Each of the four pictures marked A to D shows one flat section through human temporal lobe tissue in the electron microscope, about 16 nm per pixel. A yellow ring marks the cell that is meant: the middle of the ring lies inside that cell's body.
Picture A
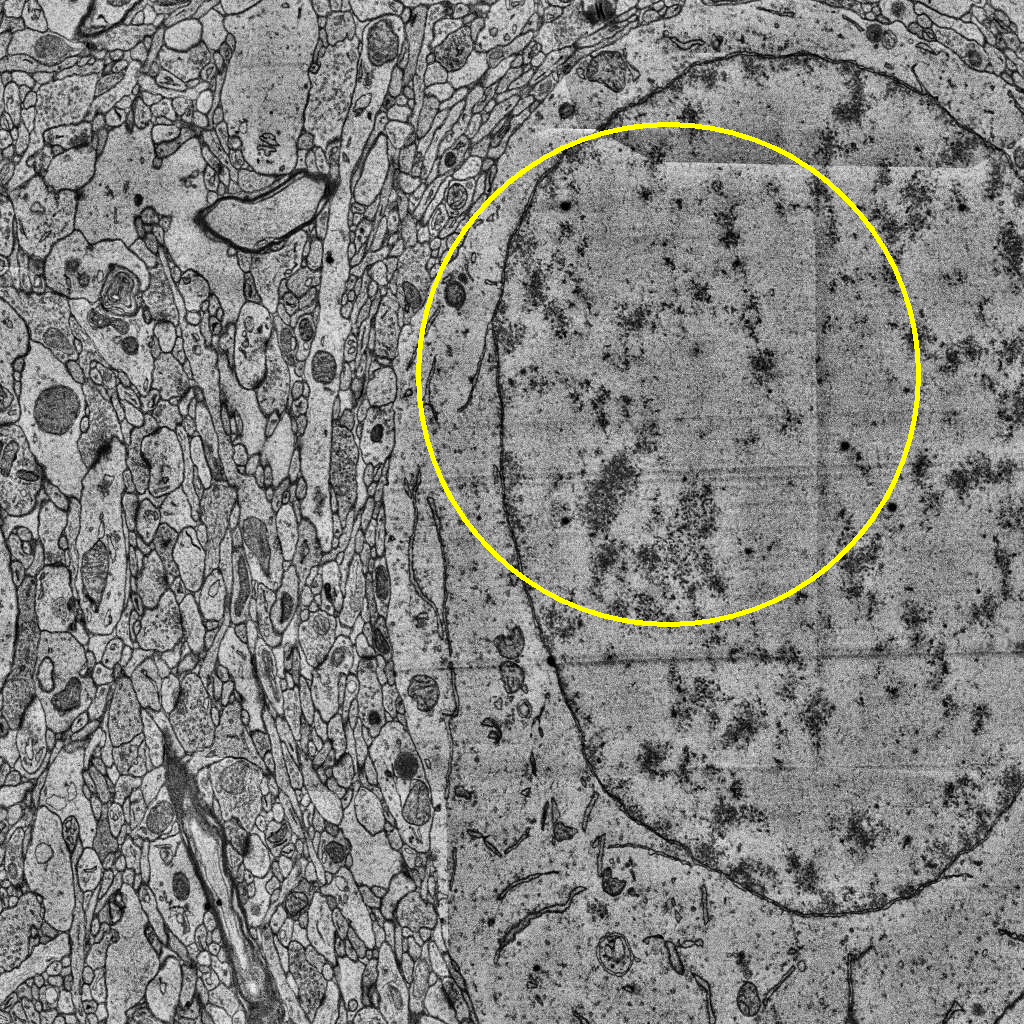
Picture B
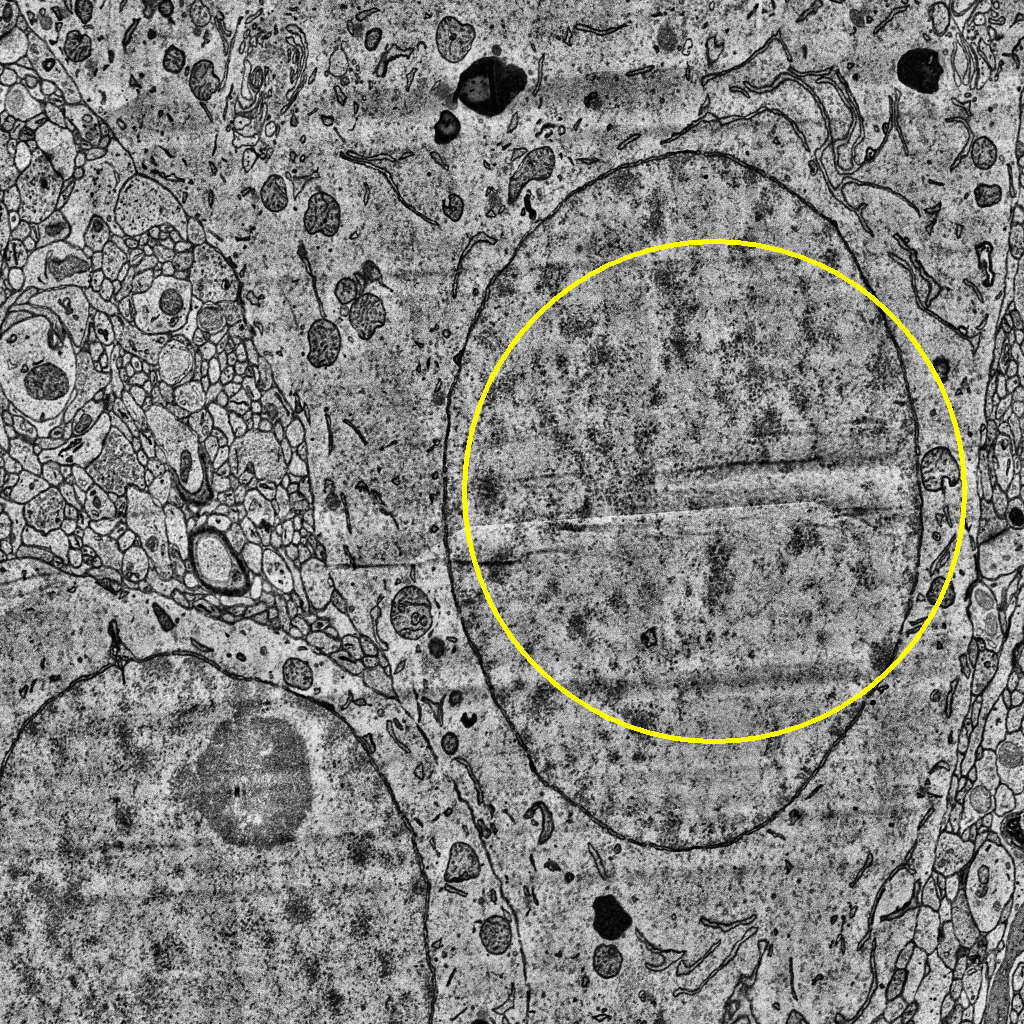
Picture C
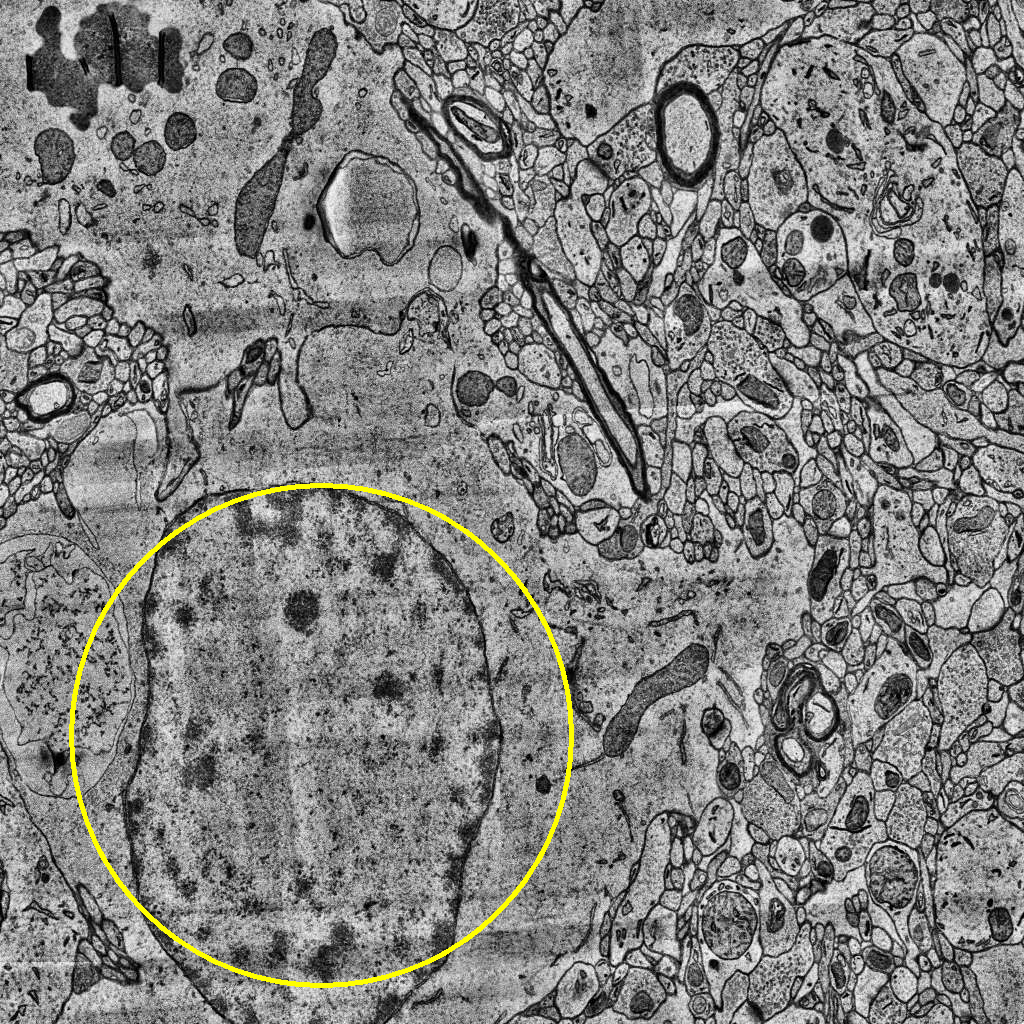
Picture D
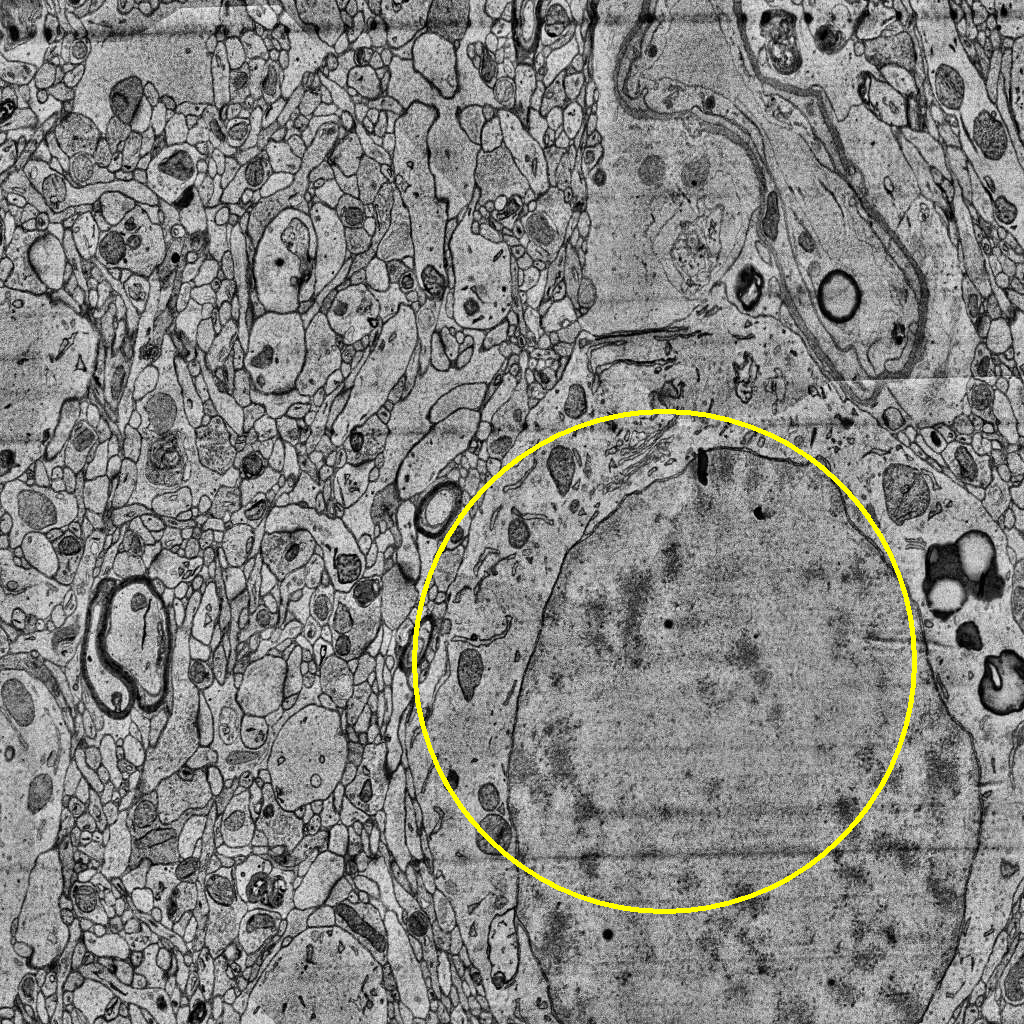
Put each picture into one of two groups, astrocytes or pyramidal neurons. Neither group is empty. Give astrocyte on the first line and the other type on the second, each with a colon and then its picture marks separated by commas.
astrocyte: C
pyramidal neuron: A, B, D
